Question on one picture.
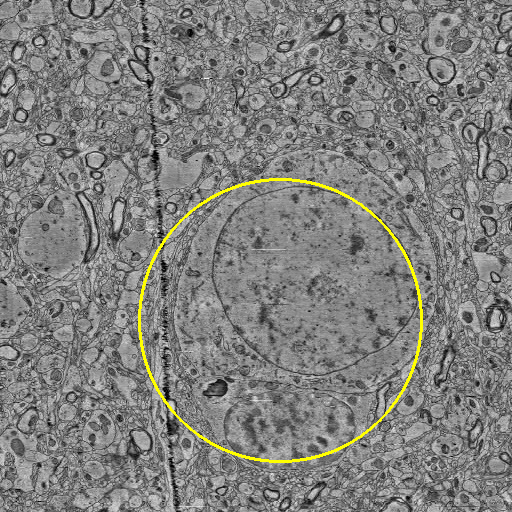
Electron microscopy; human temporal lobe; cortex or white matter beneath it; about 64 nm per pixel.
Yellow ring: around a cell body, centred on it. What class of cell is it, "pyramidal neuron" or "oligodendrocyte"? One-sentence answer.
This is a pyramidal neuron, the cell the ring is centred on.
